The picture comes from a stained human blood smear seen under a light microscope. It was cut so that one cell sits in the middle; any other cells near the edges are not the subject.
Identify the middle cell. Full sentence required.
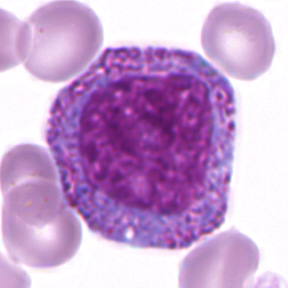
Where the crop is centred, there is a promyelocyte.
